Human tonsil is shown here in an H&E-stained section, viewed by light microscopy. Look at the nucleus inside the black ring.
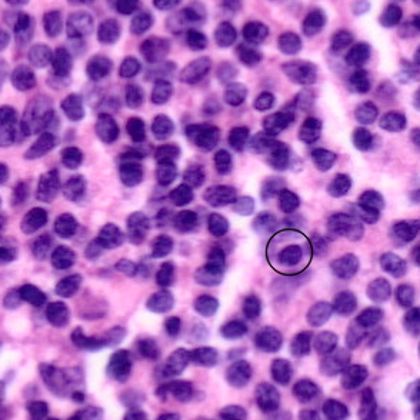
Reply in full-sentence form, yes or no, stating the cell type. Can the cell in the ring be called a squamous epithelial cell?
No, a squamous epithelial cell is not what the cell in the ring is; it is a small lymphocyte.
